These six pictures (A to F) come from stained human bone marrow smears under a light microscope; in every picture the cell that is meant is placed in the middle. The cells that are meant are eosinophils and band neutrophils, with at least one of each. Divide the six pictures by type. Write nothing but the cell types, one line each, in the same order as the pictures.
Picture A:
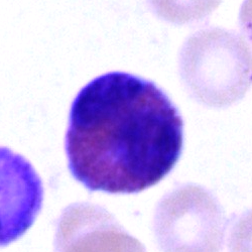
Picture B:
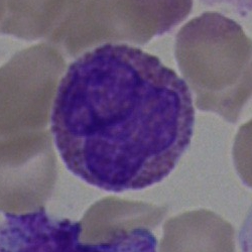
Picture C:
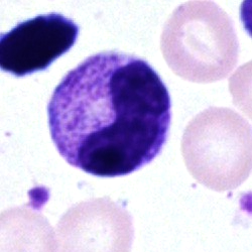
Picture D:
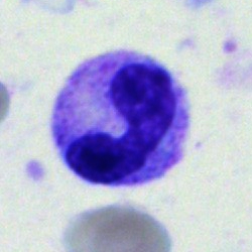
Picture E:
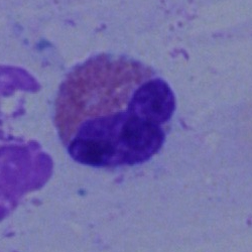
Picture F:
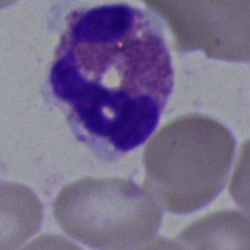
eosinophil
eosinophil
band neutrophil
band neutrophil
eosinophil
eosinophil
